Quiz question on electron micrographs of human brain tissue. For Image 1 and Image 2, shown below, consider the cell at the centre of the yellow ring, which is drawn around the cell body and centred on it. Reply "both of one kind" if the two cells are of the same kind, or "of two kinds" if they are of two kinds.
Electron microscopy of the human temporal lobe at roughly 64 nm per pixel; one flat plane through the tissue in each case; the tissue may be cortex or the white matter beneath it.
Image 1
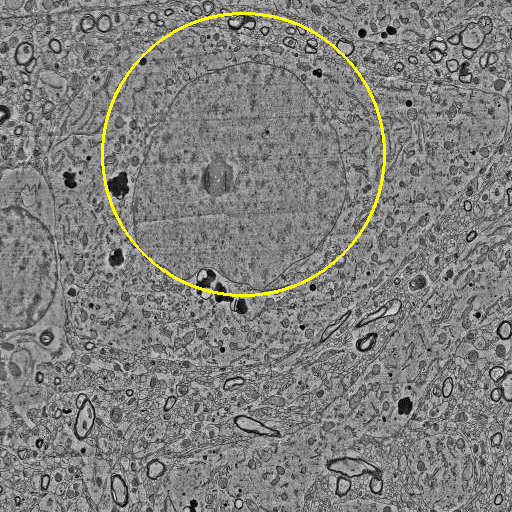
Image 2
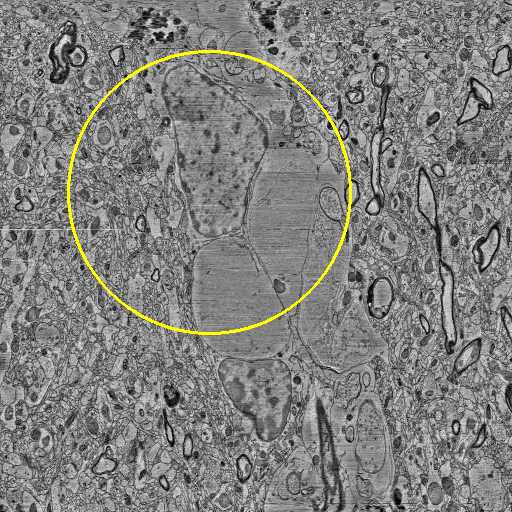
of two kinds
